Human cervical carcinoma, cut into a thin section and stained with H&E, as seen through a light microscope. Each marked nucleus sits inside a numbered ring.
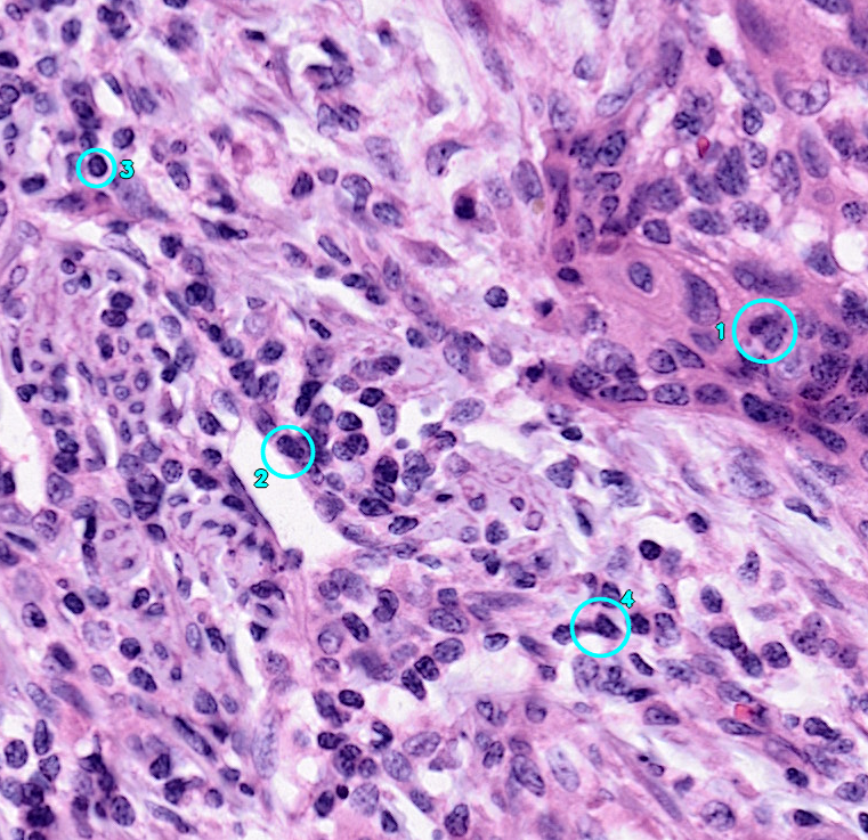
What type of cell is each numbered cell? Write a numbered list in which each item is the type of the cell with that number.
1. squamous carcinoma cell
2. lymphocyte
3. lymphocyte
4. lymphocyte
